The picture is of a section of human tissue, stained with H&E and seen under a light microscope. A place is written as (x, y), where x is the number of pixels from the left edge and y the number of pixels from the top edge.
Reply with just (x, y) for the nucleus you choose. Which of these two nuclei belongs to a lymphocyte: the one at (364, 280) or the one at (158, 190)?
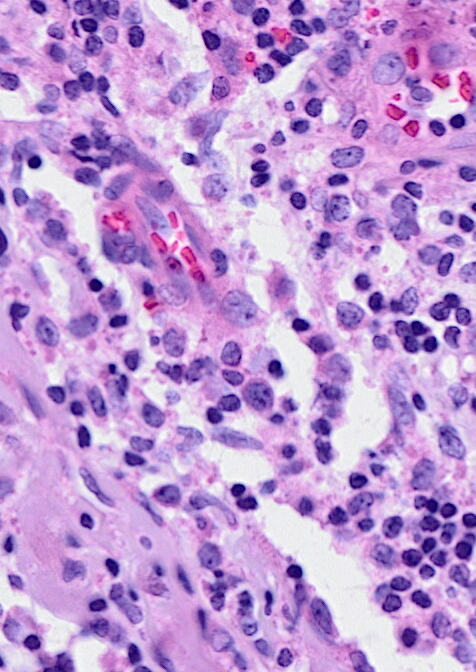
(364, 280)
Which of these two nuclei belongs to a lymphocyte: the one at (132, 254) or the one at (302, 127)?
(302, 127)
